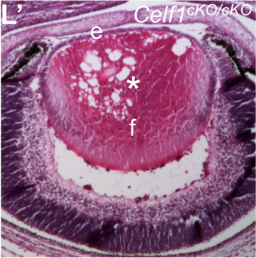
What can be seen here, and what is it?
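A section of the eye shows the lens as a large pink body, covered in front by a thin epithelial layer and flanked by dark pigmented layered tissue. Within the pink fiber cell mass lie several clear, irregular holes, clustered in the upper part, which are abnormal spaces among the fibers.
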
